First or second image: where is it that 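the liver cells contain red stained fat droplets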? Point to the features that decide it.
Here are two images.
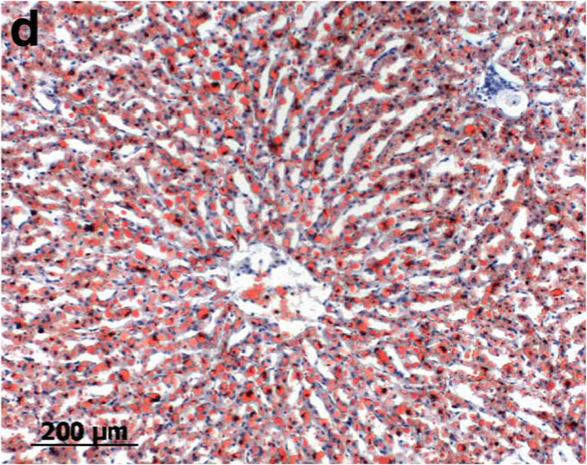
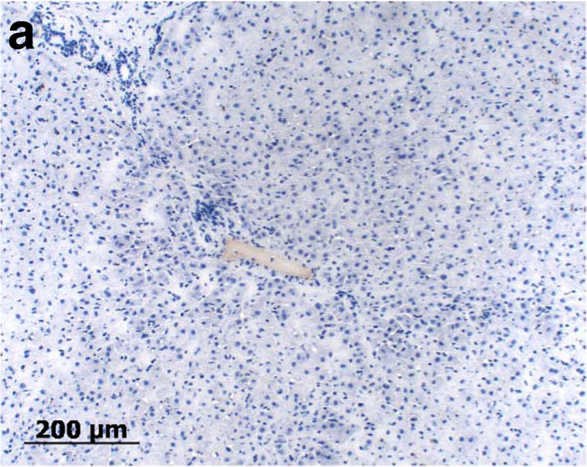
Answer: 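The first image. First image: bright red round droplets fill the cytoplasm of cells throughout the field. Second image: only blue nuclei on a pale background, with no red.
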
